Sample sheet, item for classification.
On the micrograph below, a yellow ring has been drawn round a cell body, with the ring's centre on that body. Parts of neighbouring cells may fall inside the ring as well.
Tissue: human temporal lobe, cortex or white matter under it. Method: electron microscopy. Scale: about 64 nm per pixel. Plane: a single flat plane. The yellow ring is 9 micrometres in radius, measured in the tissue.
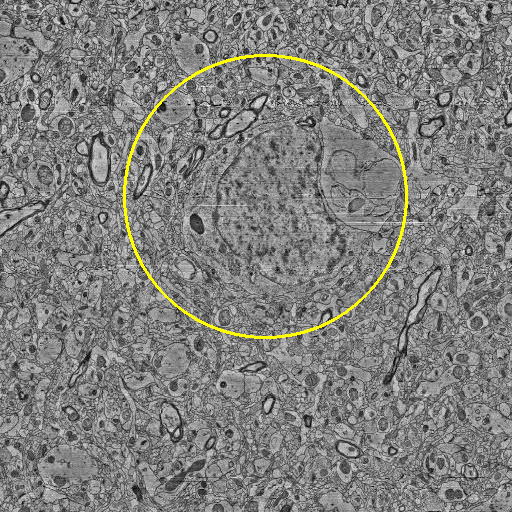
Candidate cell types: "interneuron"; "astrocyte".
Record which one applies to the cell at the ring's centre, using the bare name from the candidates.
interneuron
